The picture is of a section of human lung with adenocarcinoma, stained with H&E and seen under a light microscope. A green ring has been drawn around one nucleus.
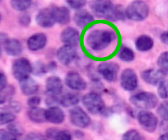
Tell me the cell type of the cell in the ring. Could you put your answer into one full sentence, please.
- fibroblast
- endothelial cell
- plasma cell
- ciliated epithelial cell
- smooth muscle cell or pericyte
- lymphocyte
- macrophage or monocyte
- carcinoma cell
Recorded by type, the cell in the ring is a lymphocyte.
